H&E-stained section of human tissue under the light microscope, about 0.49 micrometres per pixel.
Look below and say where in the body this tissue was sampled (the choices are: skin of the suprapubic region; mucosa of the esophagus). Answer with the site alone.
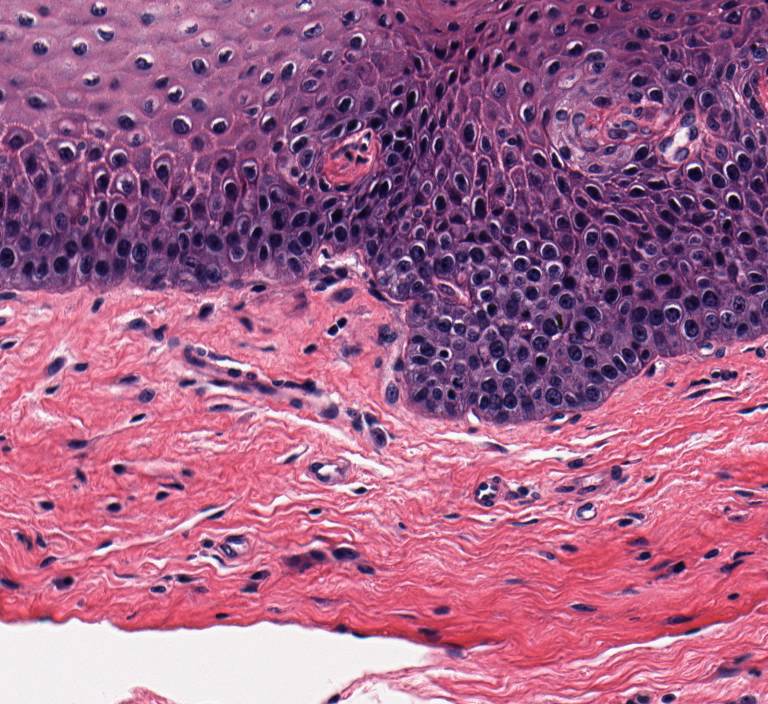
mucosa of the esophagus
